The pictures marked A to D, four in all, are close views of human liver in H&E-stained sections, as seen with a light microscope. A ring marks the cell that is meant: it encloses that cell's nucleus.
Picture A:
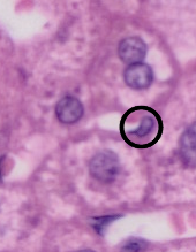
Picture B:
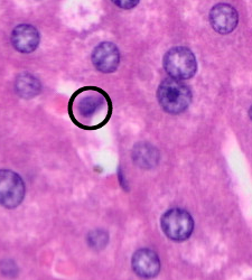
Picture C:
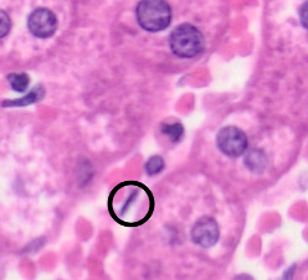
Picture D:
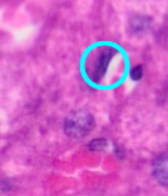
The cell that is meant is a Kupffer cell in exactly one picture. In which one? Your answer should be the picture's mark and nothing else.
B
